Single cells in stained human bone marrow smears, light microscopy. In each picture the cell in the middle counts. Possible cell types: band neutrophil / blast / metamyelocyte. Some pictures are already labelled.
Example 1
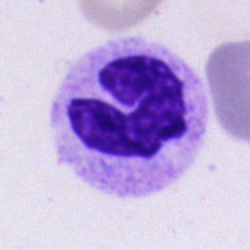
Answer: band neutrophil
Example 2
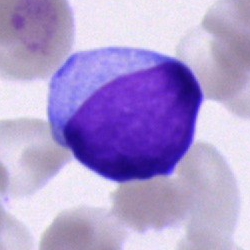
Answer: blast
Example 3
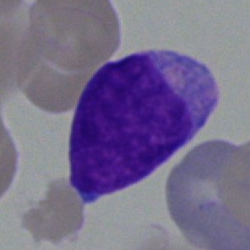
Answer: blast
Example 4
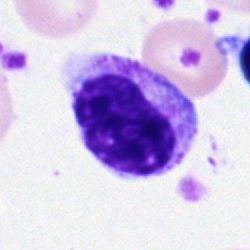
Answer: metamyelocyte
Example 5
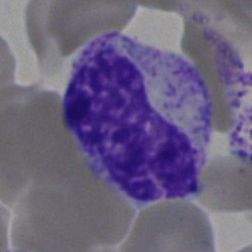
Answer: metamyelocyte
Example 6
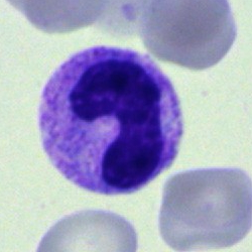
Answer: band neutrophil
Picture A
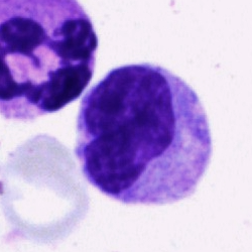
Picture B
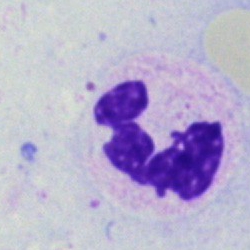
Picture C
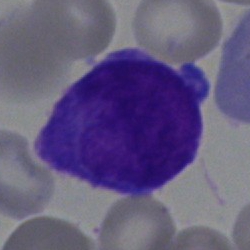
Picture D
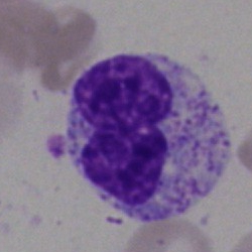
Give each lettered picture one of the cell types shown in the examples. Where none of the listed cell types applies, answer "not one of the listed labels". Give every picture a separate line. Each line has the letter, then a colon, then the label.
A: metamyelocyte
B: not one of the listed labels
C: blast
D: metamyelocyte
